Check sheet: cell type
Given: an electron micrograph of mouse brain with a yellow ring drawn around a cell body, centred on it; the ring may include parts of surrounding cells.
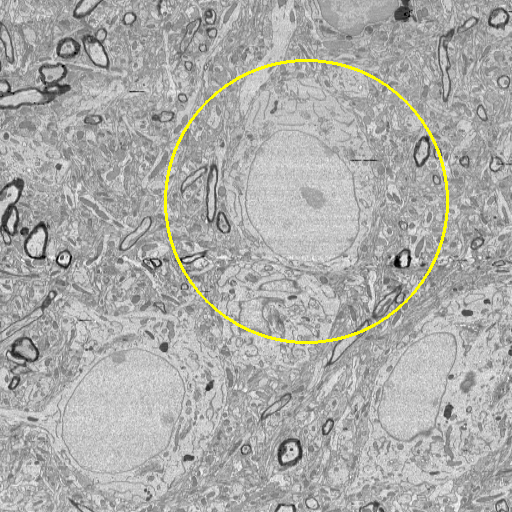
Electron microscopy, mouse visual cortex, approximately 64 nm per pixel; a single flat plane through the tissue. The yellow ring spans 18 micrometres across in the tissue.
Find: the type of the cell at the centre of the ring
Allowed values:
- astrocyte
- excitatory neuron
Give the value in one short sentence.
Here the ringed cell is an excitatory neuron.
